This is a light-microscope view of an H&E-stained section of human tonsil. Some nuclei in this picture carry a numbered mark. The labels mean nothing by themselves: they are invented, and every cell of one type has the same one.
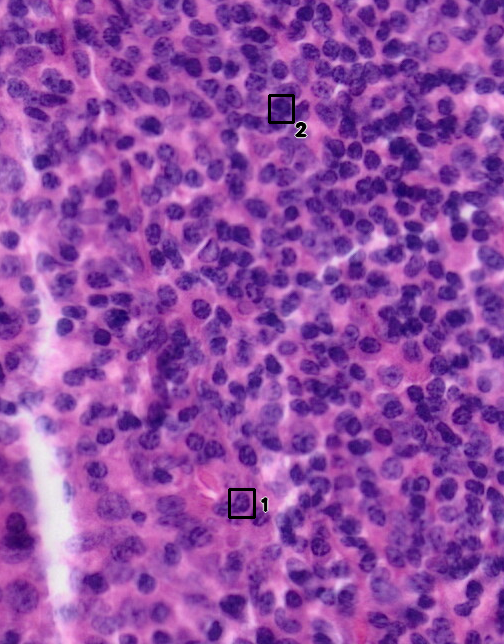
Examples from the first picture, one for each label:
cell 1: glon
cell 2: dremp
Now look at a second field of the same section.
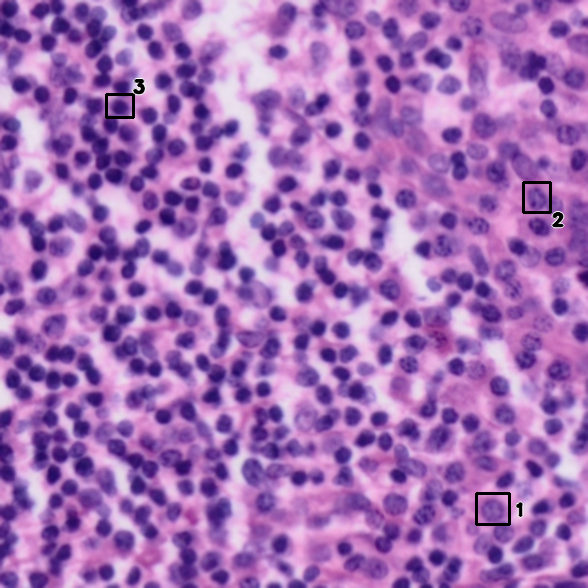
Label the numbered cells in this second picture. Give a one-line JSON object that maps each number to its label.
{"1": "glon", "2": "glon", "3": "dremp"}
